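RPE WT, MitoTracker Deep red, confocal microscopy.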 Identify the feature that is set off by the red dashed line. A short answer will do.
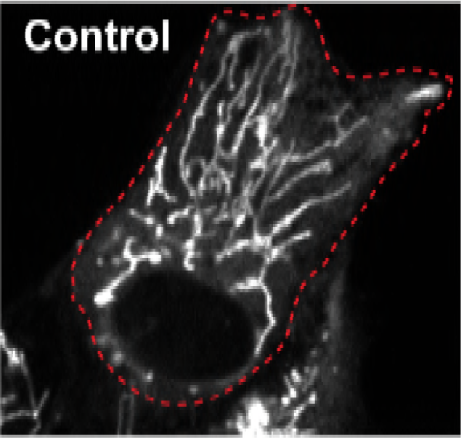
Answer: Cell periphery.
